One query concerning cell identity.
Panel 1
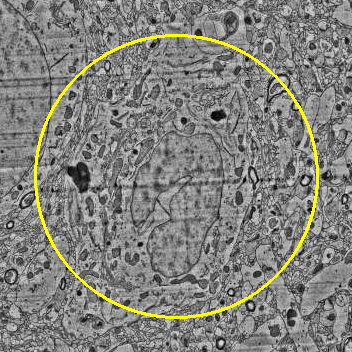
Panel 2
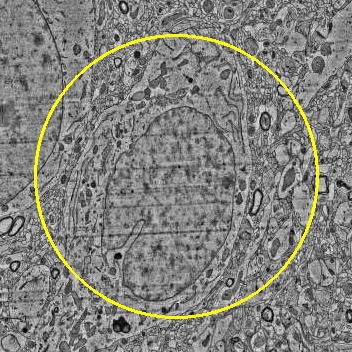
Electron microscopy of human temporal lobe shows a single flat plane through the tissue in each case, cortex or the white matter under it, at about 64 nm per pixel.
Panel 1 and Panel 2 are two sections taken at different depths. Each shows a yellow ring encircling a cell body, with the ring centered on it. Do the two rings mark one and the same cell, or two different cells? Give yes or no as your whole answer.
yes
